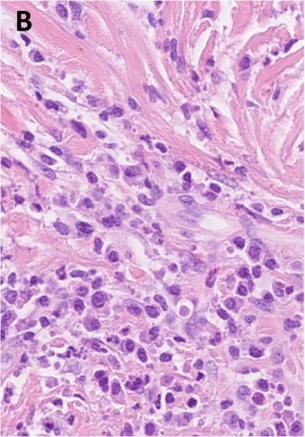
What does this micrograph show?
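This shows a mixed chronic inflammatory infiltrate lying among pink collagen fibres. Interspersed are plasma cells with eccentric round nuclei and more abundant purple cytoplasm. The collagen bundles run across the upper part of the field, with the inflammatory cells packed more densely below.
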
